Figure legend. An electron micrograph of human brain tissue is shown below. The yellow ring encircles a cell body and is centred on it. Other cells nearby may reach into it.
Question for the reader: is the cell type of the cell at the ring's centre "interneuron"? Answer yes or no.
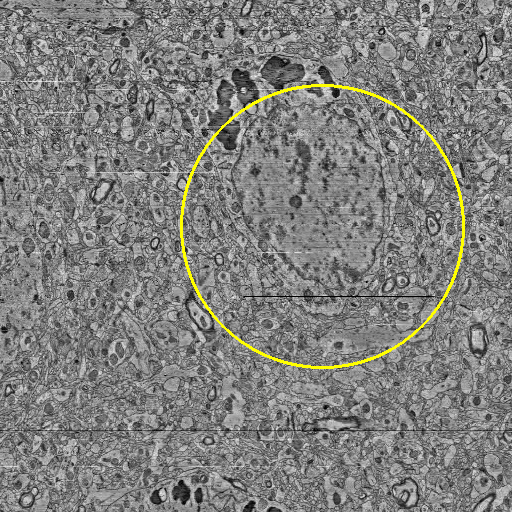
yes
